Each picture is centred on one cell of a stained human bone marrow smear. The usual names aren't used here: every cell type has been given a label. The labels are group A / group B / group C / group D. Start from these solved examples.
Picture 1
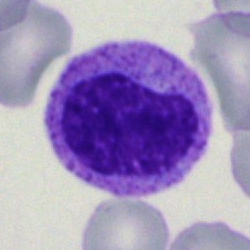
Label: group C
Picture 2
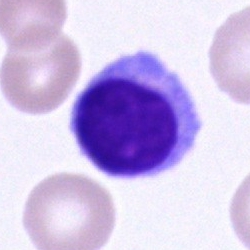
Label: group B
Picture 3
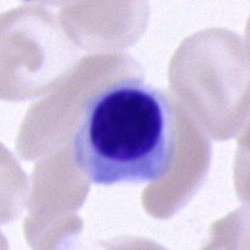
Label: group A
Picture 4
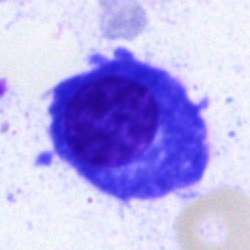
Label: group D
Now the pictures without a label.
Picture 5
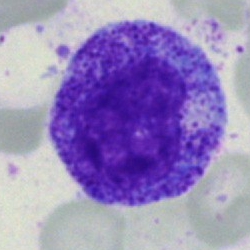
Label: group C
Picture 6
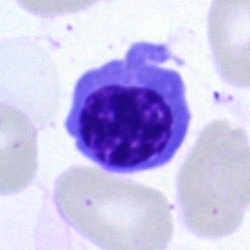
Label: group A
